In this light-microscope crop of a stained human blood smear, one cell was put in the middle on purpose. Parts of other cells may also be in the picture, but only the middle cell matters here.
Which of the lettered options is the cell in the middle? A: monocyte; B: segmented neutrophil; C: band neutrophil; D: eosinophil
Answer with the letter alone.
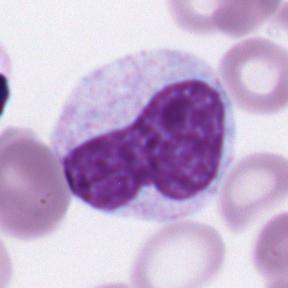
C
